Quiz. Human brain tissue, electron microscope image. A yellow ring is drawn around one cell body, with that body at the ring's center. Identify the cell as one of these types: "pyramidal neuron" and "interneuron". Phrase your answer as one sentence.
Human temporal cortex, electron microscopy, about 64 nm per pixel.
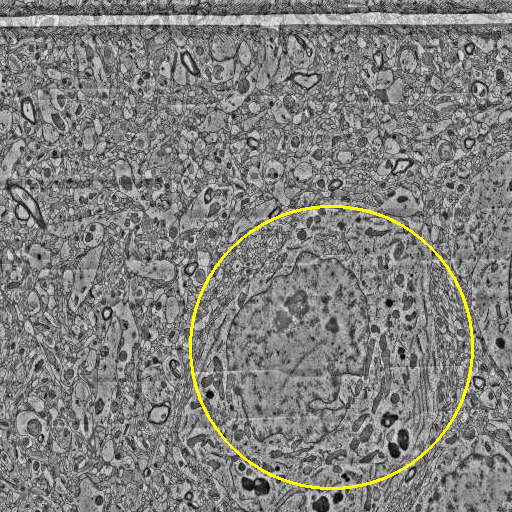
At the center of the ring sits an interneuron.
